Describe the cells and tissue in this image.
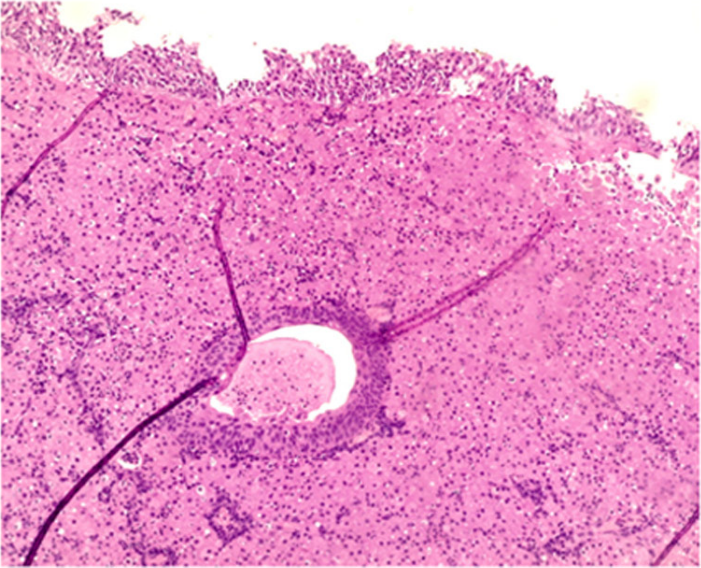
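Mucosa with a thin, fragmented surface layer at the top overlying a dense subepithelial infiltrate made of sheets of cells with pink cytoplasm. Darker purple clusters of small nuclei are scattered through the sheet and ring a central vessel-like space.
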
